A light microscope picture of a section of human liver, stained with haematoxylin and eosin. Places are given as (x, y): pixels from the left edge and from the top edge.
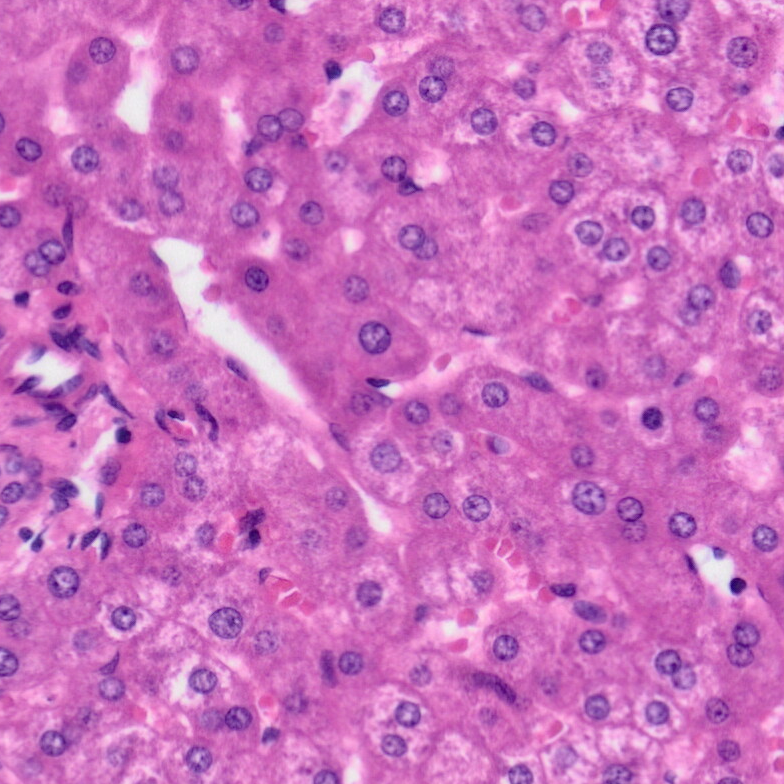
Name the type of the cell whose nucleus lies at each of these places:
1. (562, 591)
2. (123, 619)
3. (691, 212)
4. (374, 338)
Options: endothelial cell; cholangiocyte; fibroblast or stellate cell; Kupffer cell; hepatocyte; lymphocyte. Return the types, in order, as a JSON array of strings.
["fibroblast or stellate cell", "hepatocyte", "hepatocyte", "hepatocyte"]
